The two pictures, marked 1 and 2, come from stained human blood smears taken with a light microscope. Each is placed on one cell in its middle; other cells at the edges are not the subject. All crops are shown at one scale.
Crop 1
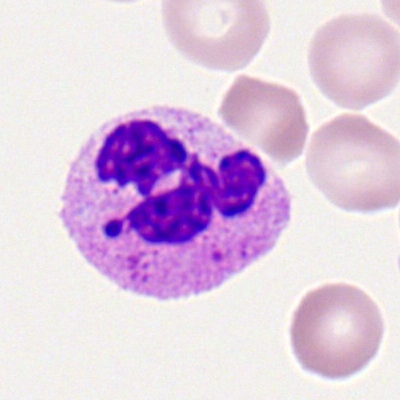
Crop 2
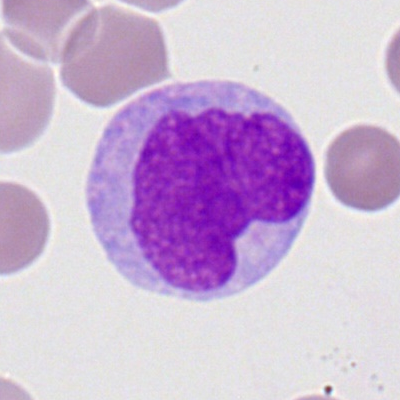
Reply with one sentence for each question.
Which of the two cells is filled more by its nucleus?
It is the cell in crop 2 that is filled more by its nucleus.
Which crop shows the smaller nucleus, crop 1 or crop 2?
The nucleus in crop 1 is smaller; the one in crop 2 has about 2 times its area.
